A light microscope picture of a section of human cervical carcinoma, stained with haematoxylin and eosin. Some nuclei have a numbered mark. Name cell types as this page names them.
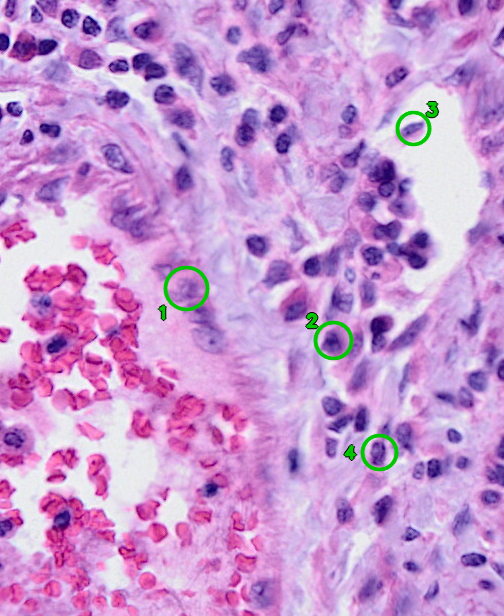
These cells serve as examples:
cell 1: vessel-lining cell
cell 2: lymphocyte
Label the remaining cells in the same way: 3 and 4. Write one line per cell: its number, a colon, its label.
3: lymphocyte
4: lymphocyte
